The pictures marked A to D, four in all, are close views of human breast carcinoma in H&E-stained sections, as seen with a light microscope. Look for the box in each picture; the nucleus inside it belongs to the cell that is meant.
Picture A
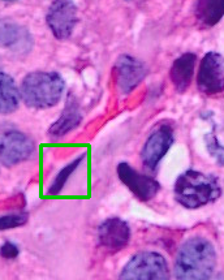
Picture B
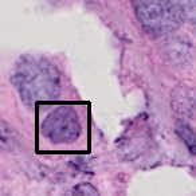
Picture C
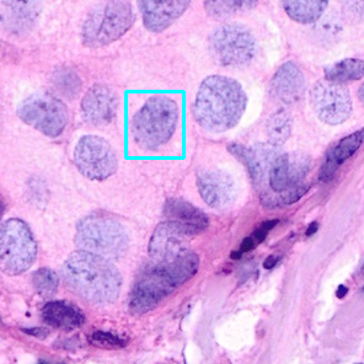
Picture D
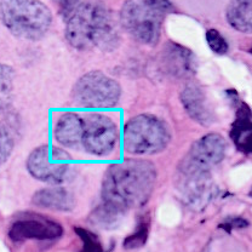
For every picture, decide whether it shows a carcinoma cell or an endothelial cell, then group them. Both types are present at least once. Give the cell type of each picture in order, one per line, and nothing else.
endothelial cell
carcinoma cell
carcinoma cell
carcinoma cell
